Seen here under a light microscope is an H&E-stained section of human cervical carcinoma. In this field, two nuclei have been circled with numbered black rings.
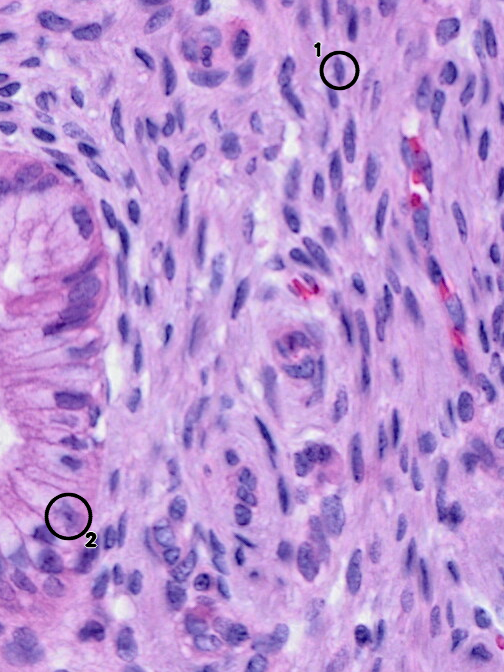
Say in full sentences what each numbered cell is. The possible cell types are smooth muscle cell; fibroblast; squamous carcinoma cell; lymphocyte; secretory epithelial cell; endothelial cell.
Cell 1 is a fibroblast and cell 2 is a secretory epithelial cell.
